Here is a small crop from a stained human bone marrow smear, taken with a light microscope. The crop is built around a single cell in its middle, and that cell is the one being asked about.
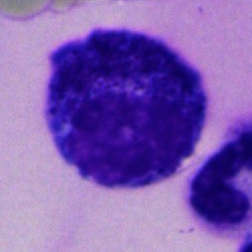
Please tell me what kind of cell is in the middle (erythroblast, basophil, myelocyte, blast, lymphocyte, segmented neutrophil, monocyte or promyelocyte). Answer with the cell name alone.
promyelocyte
